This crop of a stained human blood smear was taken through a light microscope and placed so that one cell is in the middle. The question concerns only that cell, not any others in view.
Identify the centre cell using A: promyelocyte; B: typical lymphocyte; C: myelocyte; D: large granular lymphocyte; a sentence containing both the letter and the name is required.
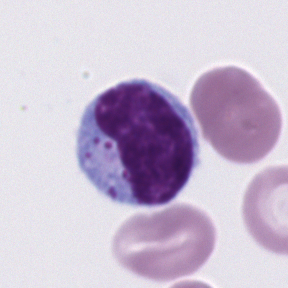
Option D is correct in that the central cell is a large granular lymphocyte.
